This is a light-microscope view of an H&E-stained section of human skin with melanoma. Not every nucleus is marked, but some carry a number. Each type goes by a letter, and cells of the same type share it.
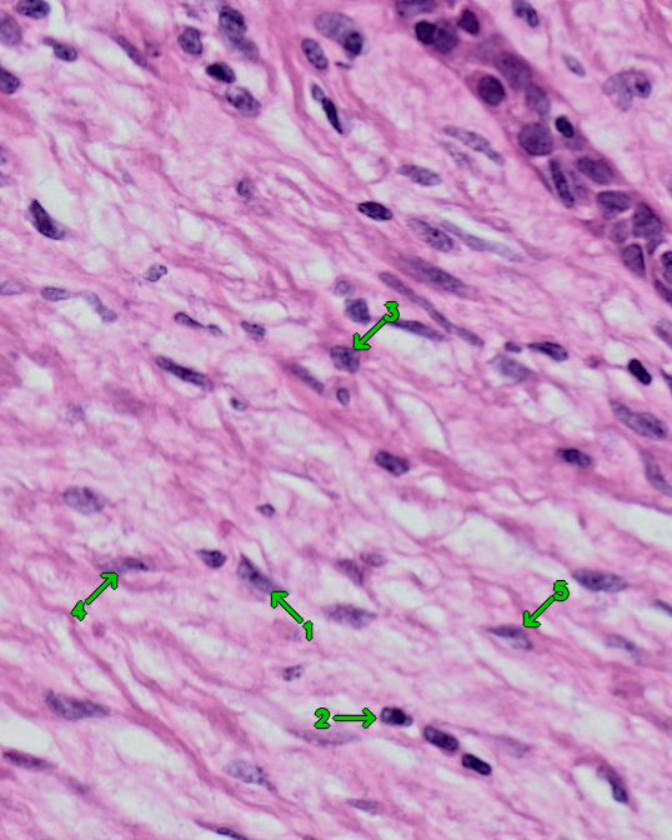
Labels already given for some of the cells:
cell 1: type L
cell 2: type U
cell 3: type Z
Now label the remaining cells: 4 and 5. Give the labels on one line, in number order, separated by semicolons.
type L; type L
